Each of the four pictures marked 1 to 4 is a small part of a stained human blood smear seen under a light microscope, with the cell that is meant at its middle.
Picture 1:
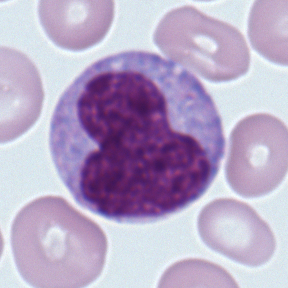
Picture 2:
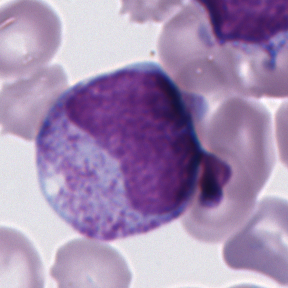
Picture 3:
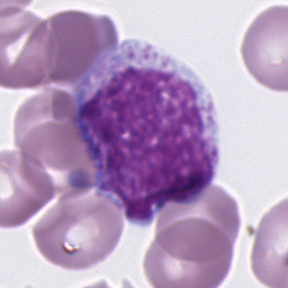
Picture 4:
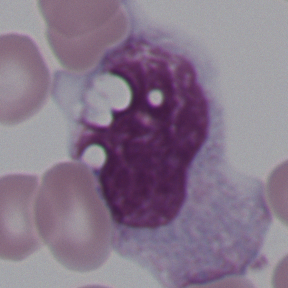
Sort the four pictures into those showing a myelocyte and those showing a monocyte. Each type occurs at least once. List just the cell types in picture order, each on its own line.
monocyte
myelocyte
myelocyte
monocyte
